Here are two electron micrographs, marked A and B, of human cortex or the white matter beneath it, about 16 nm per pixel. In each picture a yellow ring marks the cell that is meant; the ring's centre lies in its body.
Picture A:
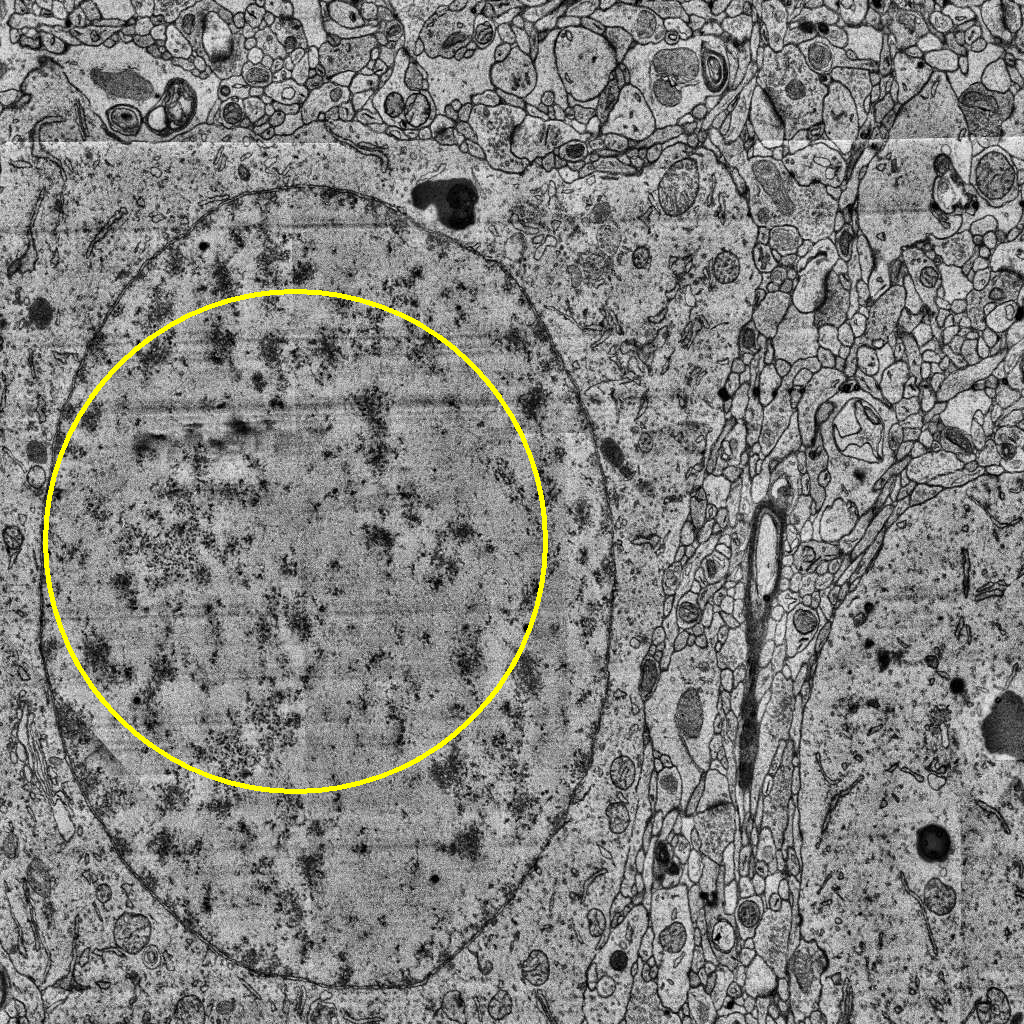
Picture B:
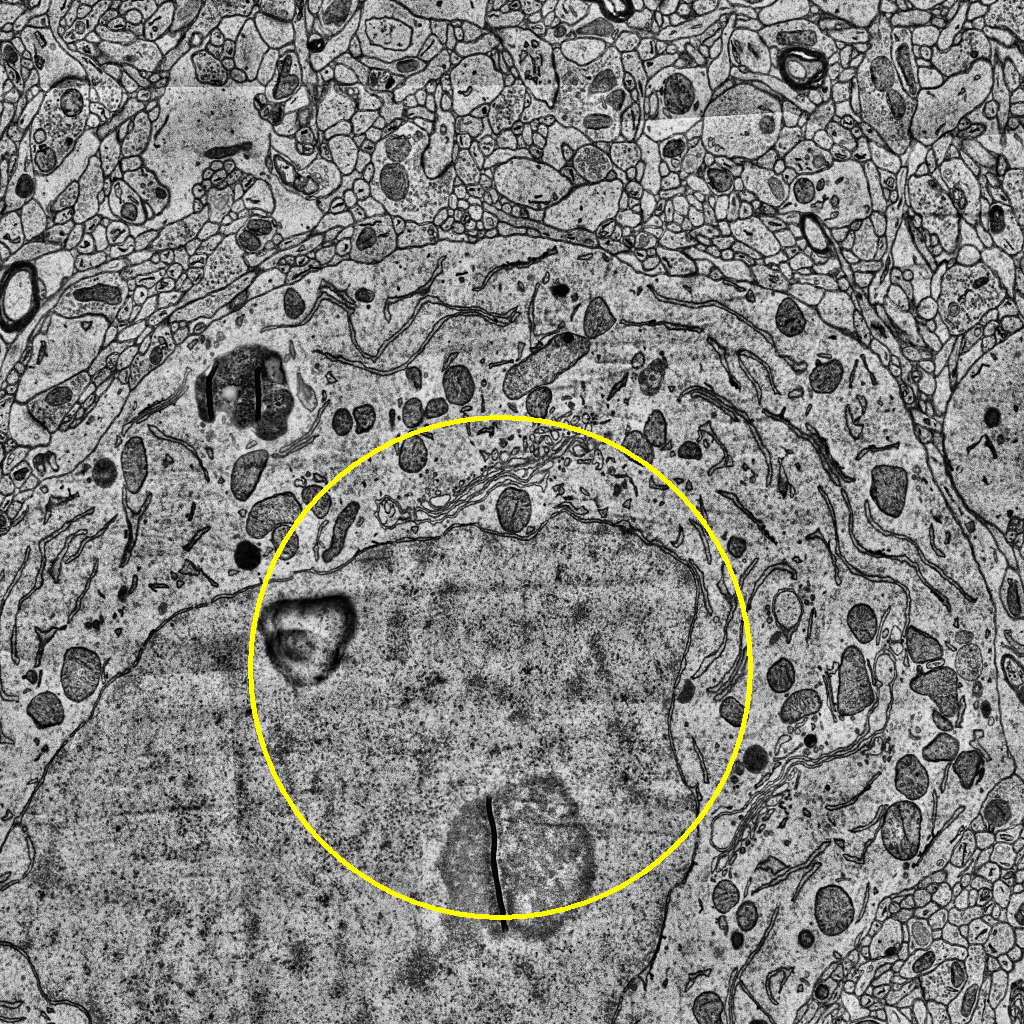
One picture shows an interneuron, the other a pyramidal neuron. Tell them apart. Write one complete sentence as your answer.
Picture A is of a pyramidal neuron, and picture B is of an interneuron.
